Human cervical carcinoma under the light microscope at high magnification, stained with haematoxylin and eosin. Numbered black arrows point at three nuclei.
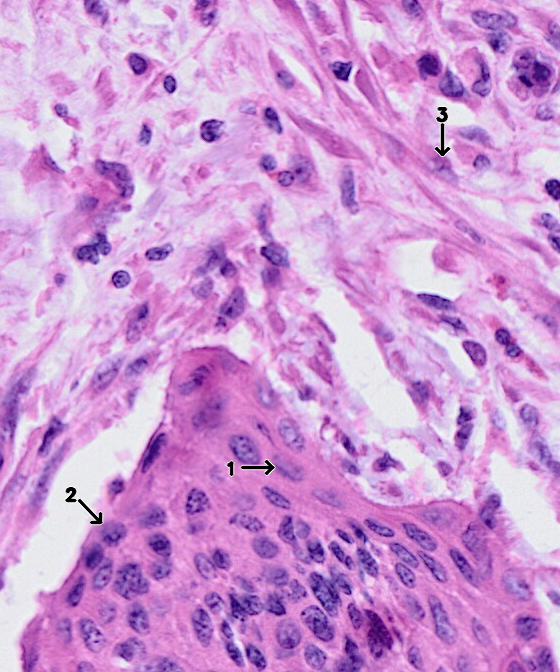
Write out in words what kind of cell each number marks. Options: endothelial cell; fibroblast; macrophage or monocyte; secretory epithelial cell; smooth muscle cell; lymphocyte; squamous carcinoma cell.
Cells 1 and 2 are squamous carcinoma cells. Cell 3 is a fibroblast.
